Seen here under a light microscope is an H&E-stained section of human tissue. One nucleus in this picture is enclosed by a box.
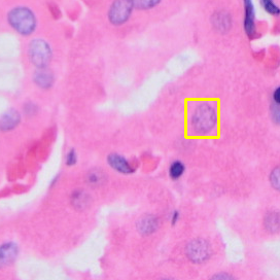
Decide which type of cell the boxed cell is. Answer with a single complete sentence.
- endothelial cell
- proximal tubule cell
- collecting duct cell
By its classification, the boxed cell is a proximal tubule cell.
